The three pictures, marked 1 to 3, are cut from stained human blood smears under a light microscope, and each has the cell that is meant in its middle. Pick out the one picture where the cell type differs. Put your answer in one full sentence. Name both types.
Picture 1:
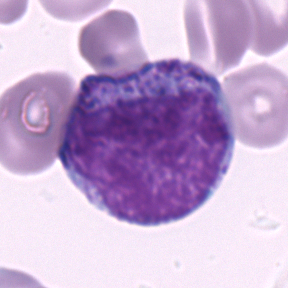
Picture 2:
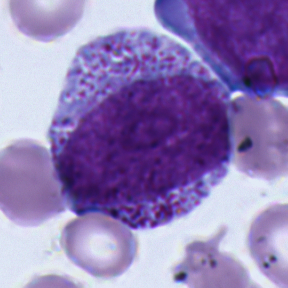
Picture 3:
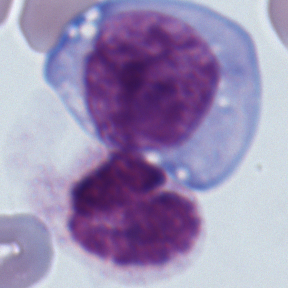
Picture 3 differs, because its cell is a myeloblast and the rest are promyelocytes.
